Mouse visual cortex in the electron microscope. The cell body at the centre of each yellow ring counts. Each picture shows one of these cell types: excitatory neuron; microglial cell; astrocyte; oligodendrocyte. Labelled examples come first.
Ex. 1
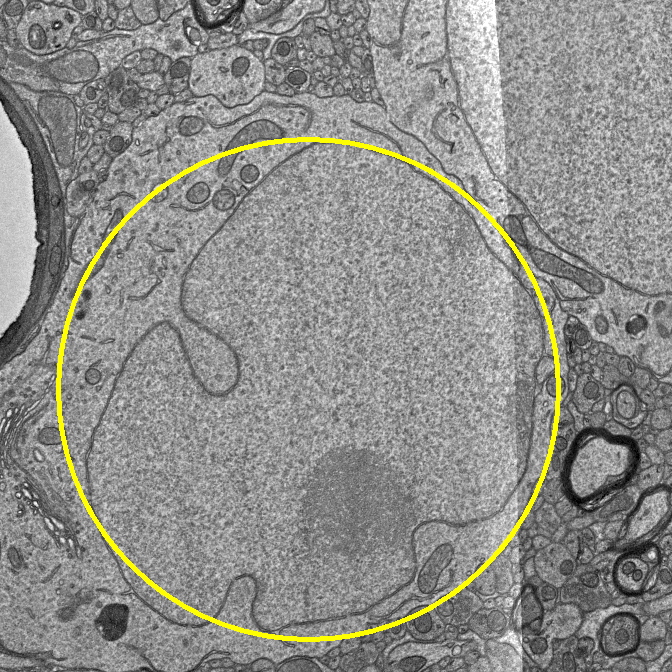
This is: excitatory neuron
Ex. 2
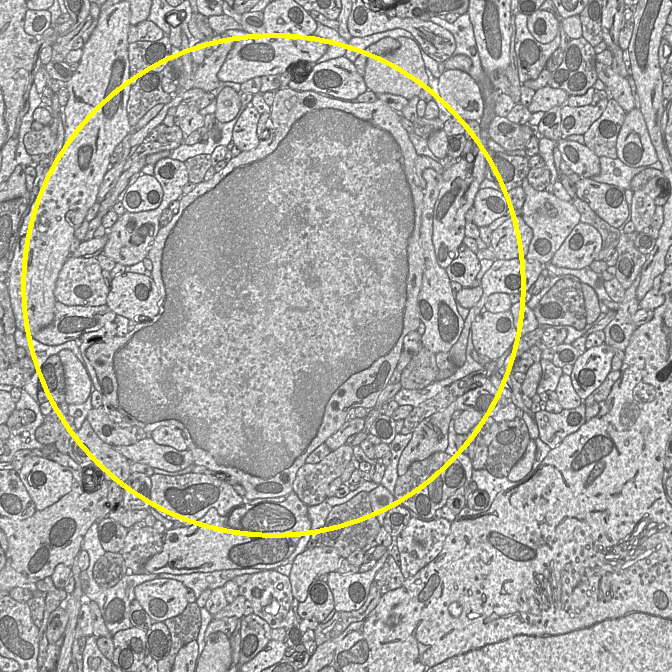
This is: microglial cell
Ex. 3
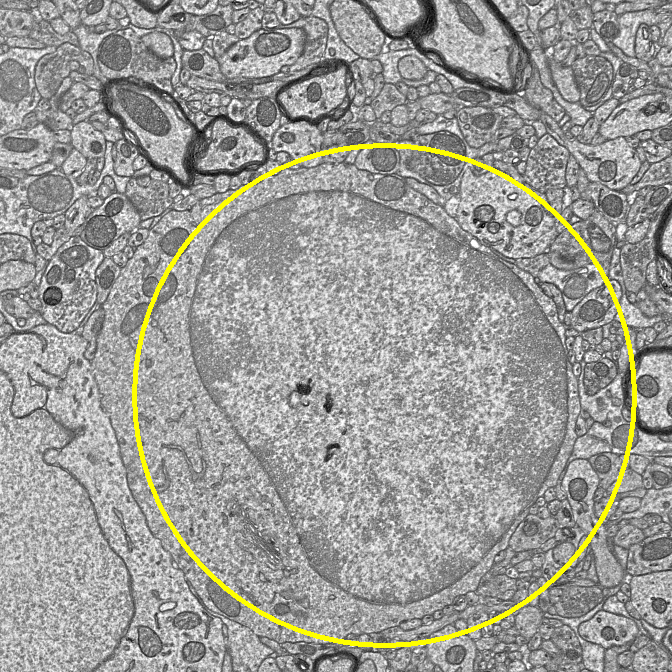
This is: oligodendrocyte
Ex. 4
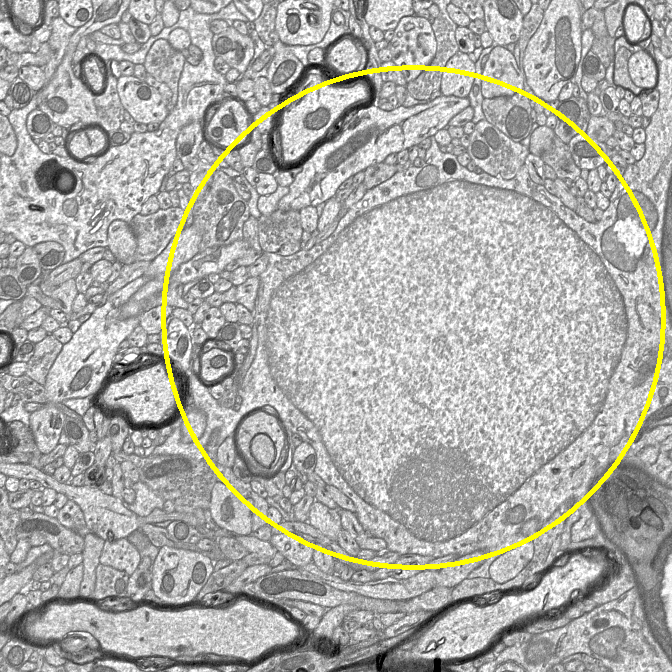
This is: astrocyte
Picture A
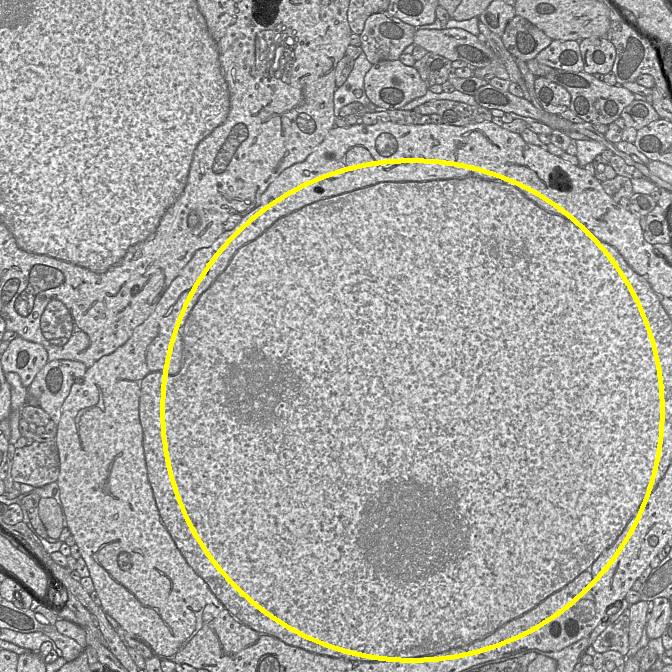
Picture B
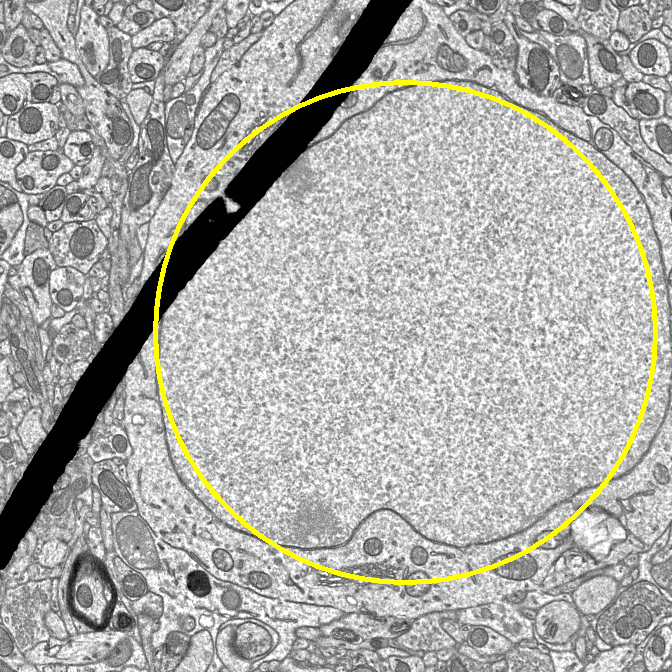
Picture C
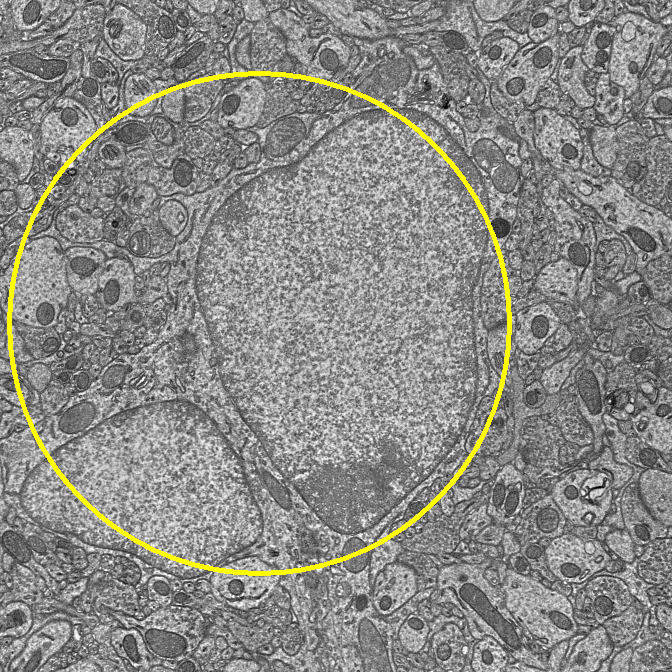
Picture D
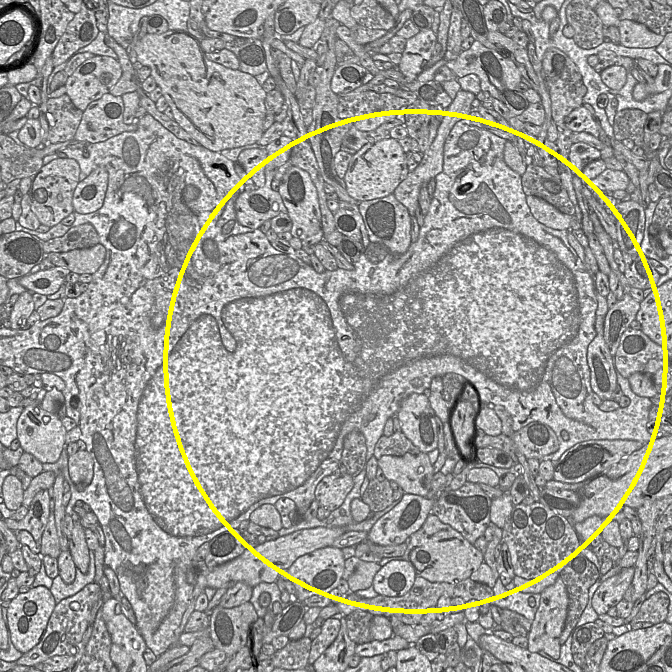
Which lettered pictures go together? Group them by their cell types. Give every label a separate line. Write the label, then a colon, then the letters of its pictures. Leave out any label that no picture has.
excitatory neuron: A, B
astrocyte: C, D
